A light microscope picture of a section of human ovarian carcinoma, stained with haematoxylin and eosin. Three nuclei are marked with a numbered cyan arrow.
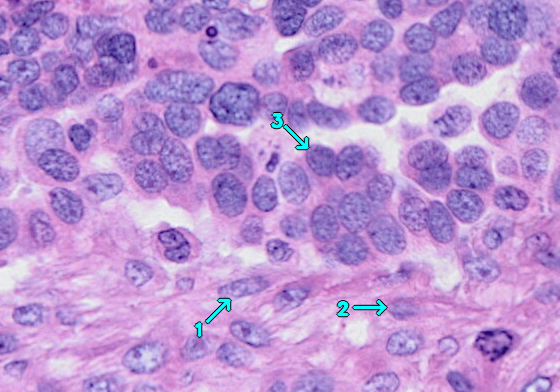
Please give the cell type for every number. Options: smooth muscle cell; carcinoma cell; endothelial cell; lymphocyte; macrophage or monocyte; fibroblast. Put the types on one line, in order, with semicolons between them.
fibroblast; fibroblast; carcinoma cell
